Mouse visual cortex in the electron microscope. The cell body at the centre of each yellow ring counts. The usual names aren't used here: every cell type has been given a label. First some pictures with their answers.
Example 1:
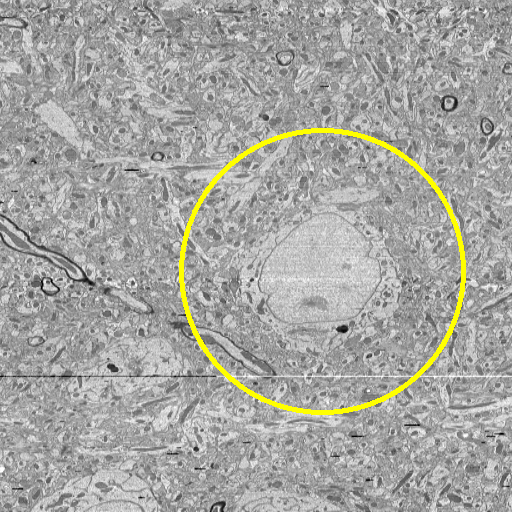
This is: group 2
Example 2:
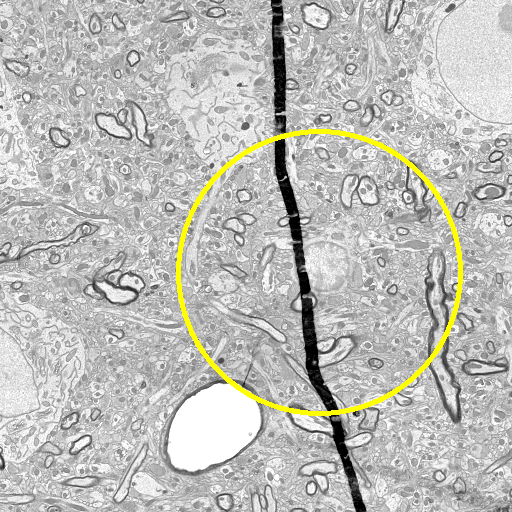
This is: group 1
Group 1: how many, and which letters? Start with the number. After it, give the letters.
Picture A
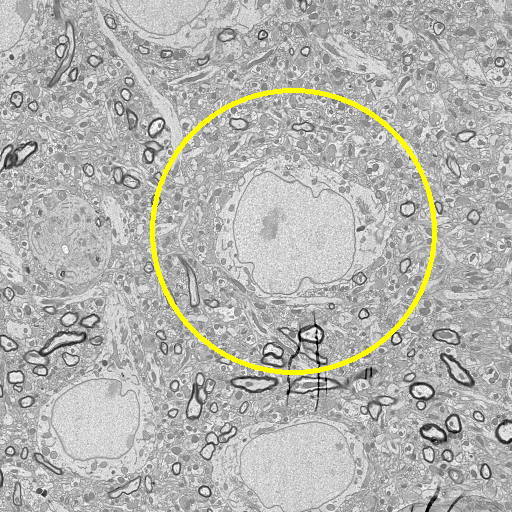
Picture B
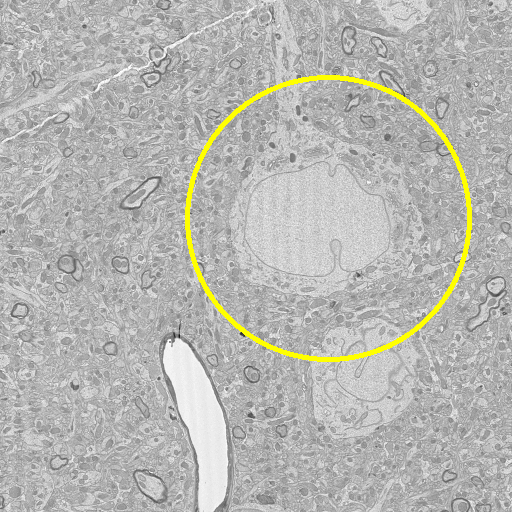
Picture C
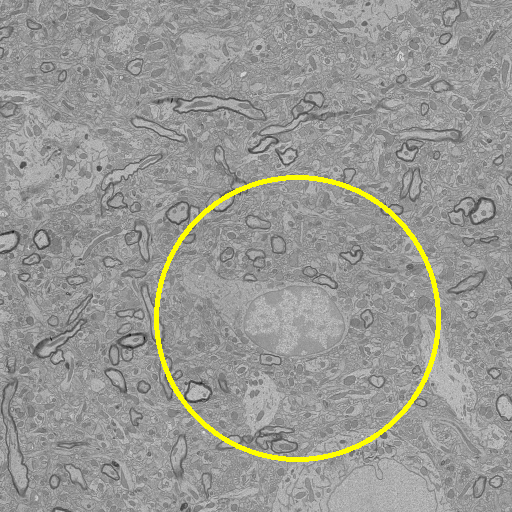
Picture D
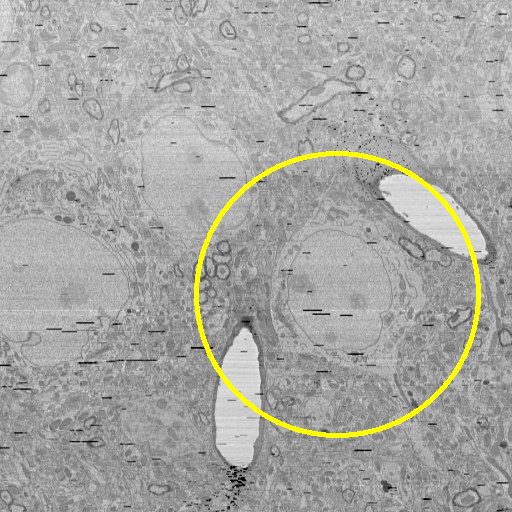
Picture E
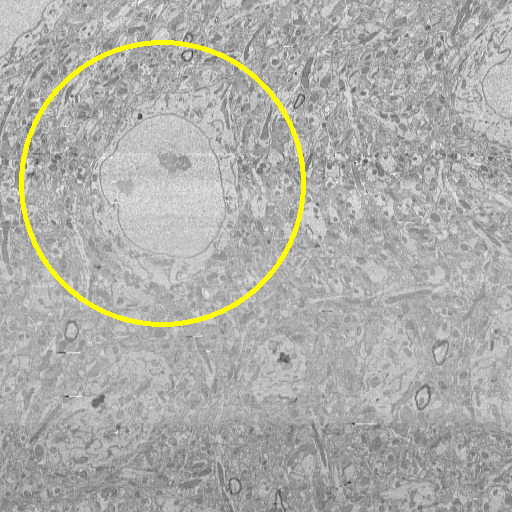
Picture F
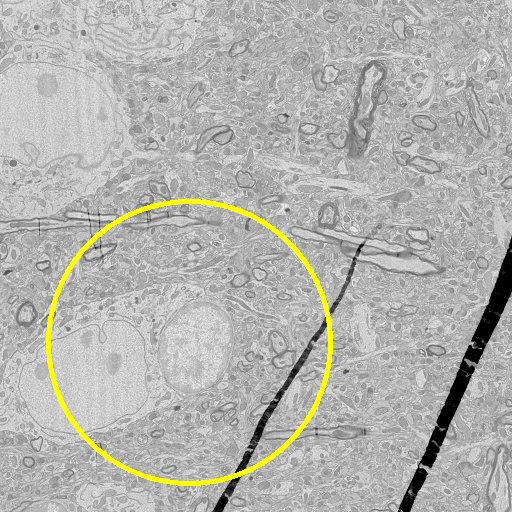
Count: 2 (C, F)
